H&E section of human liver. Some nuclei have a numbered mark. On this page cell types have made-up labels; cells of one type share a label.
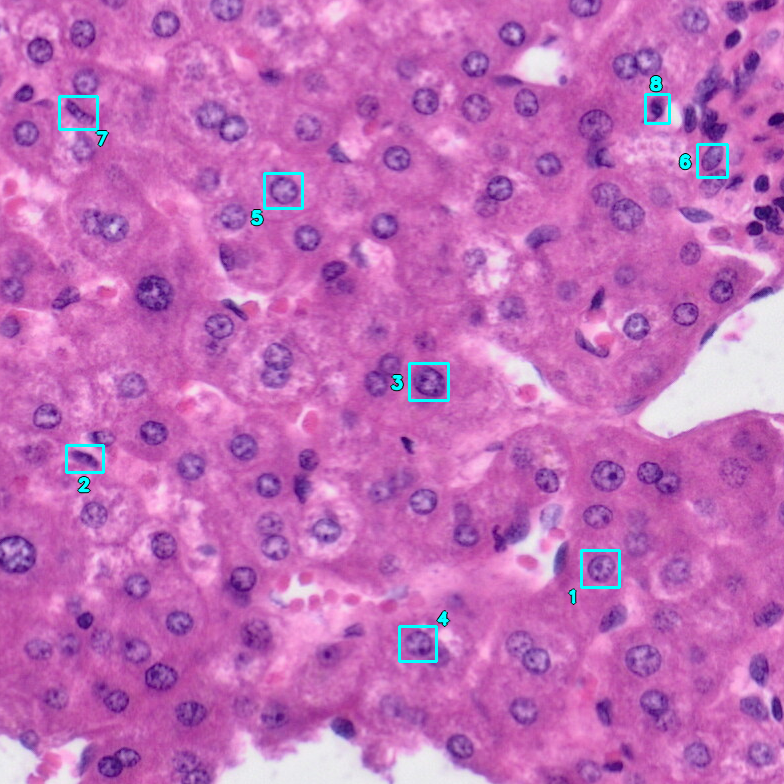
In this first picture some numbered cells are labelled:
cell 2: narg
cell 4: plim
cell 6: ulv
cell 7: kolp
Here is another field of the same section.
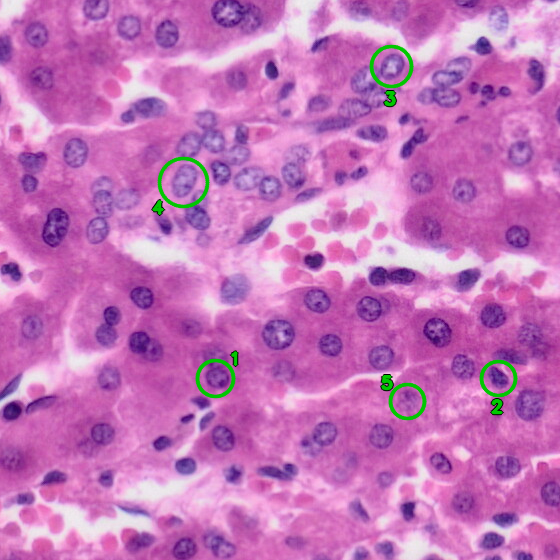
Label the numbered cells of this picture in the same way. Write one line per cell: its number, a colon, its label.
1: plim
2: kolp
3: ulv
4: ulv
5: plim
